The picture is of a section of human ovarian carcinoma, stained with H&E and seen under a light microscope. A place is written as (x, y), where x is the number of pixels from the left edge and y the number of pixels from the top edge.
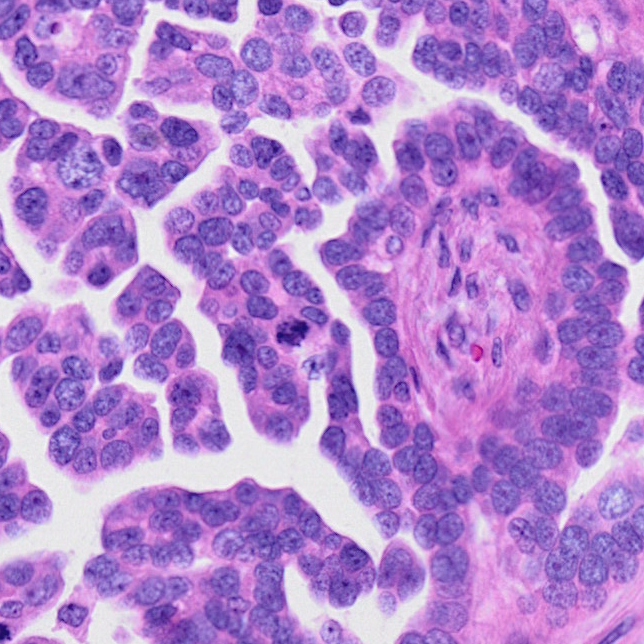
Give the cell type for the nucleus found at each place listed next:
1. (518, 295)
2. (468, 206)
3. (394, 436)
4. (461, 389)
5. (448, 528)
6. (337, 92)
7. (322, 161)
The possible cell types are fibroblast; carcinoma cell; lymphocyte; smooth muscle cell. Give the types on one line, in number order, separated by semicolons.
fibroblast; fibroblast; carcinoma cell; fibroblast; carcinoma cell; carcinoma cell; carcinoma cell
